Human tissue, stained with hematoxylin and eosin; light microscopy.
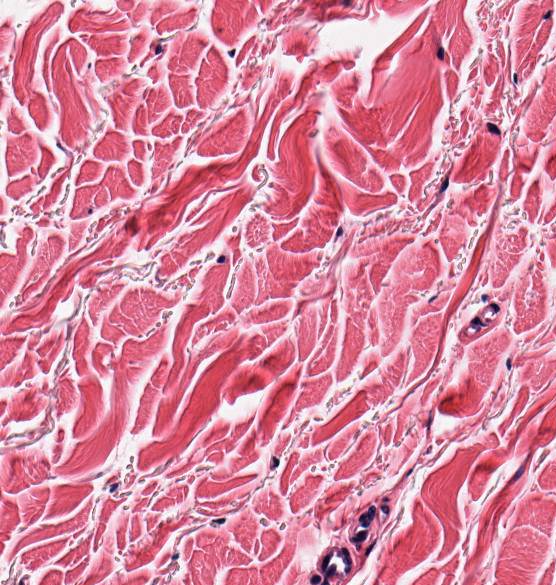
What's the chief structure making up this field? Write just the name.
dermis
